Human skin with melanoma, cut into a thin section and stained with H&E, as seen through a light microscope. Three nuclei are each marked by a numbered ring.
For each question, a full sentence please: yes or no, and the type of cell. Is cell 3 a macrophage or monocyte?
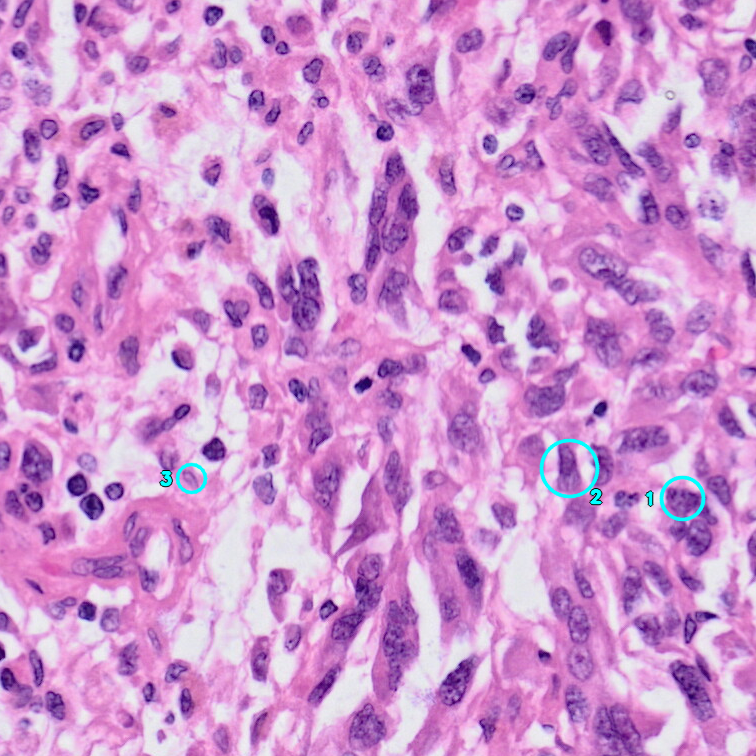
Yes, the number 3 belongs to a macrophage or monocyte.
